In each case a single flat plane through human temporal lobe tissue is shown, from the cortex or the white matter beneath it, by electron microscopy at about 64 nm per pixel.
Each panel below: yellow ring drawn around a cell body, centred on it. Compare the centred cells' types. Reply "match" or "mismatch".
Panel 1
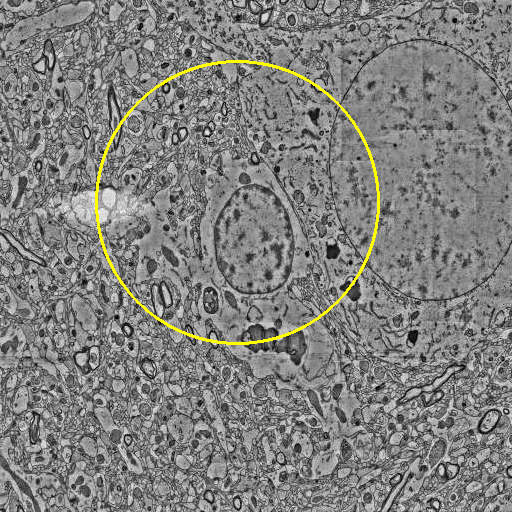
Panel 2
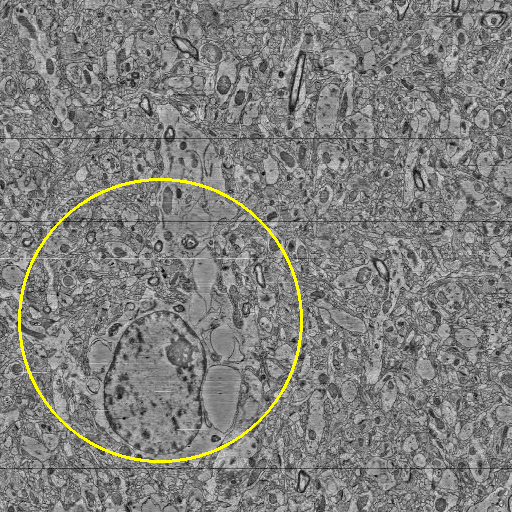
match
